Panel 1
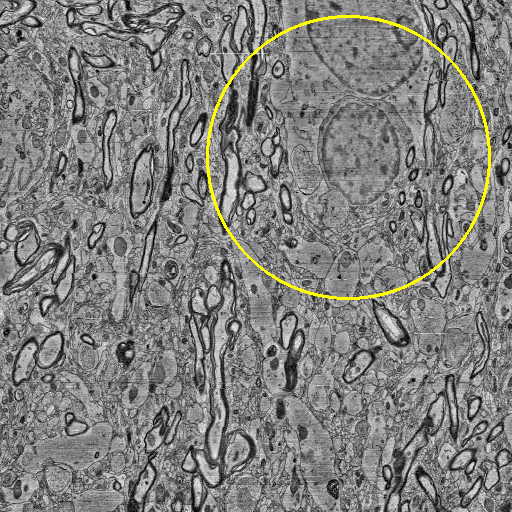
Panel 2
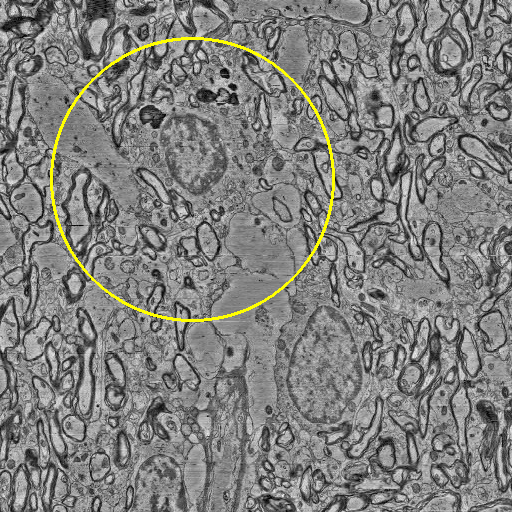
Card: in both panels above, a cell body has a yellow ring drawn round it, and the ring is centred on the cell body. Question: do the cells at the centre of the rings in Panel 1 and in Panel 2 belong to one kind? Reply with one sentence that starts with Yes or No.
Yes, the cells centred in the rings of Panel 1 and Panel 2 are one kind of cell.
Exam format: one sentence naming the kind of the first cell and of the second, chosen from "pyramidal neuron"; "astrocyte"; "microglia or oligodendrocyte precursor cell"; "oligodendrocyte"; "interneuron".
Each cell at the centre of a ring is an oligodendrocyte.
